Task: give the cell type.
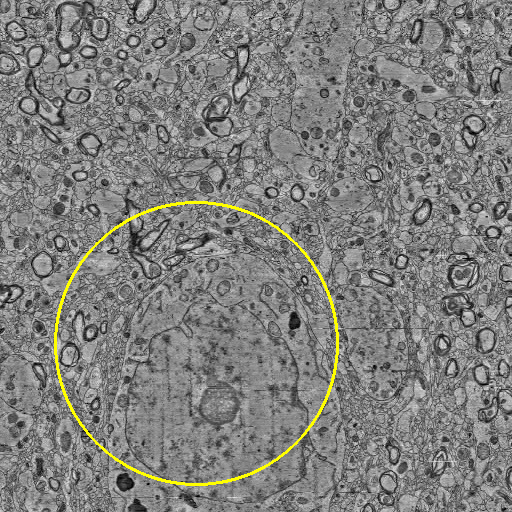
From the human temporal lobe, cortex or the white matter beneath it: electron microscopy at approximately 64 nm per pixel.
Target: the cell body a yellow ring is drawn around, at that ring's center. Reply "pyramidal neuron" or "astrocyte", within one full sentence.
In this picture, the cell whose body lies at the ring's center is a pyramidal neuron.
